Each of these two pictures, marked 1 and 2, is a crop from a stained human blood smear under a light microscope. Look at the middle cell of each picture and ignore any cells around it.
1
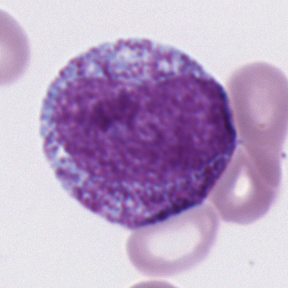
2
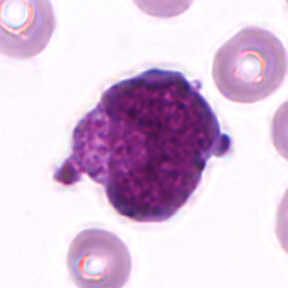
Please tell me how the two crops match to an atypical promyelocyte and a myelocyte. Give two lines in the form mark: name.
1: myelocyte
2: atypical promyelocyte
